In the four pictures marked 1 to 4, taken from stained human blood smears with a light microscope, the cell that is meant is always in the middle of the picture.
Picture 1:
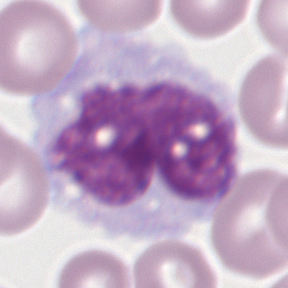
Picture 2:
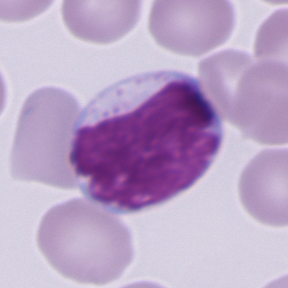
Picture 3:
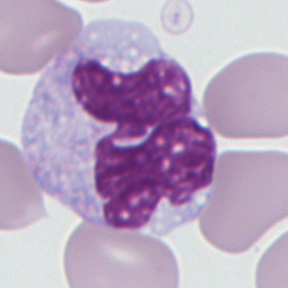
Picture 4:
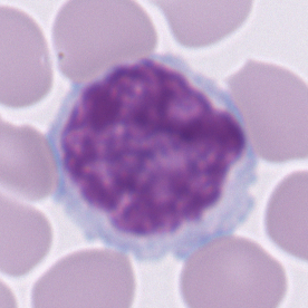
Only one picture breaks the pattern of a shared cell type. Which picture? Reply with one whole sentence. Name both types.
The different one is picture 2; it shows a large granular lymphocyte, whereas all the others show monocytes.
